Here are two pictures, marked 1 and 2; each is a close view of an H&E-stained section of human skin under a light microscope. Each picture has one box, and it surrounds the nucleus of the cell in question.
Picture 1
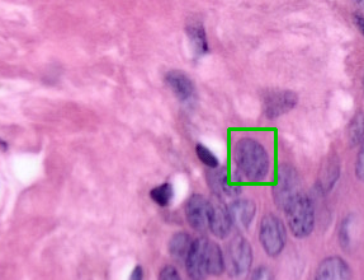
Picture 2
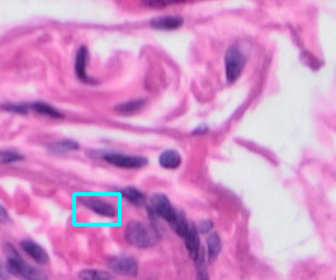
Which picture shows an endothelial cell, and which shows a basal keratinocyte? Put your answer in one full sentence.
Picture 2 shows an endothelial cell, while picture 1 shows a basal keratinocyte.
